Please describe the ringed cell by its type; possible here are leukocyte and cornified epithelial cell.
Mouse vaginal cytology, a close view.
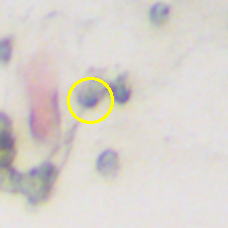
The yellow ring marks a leukocyte.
